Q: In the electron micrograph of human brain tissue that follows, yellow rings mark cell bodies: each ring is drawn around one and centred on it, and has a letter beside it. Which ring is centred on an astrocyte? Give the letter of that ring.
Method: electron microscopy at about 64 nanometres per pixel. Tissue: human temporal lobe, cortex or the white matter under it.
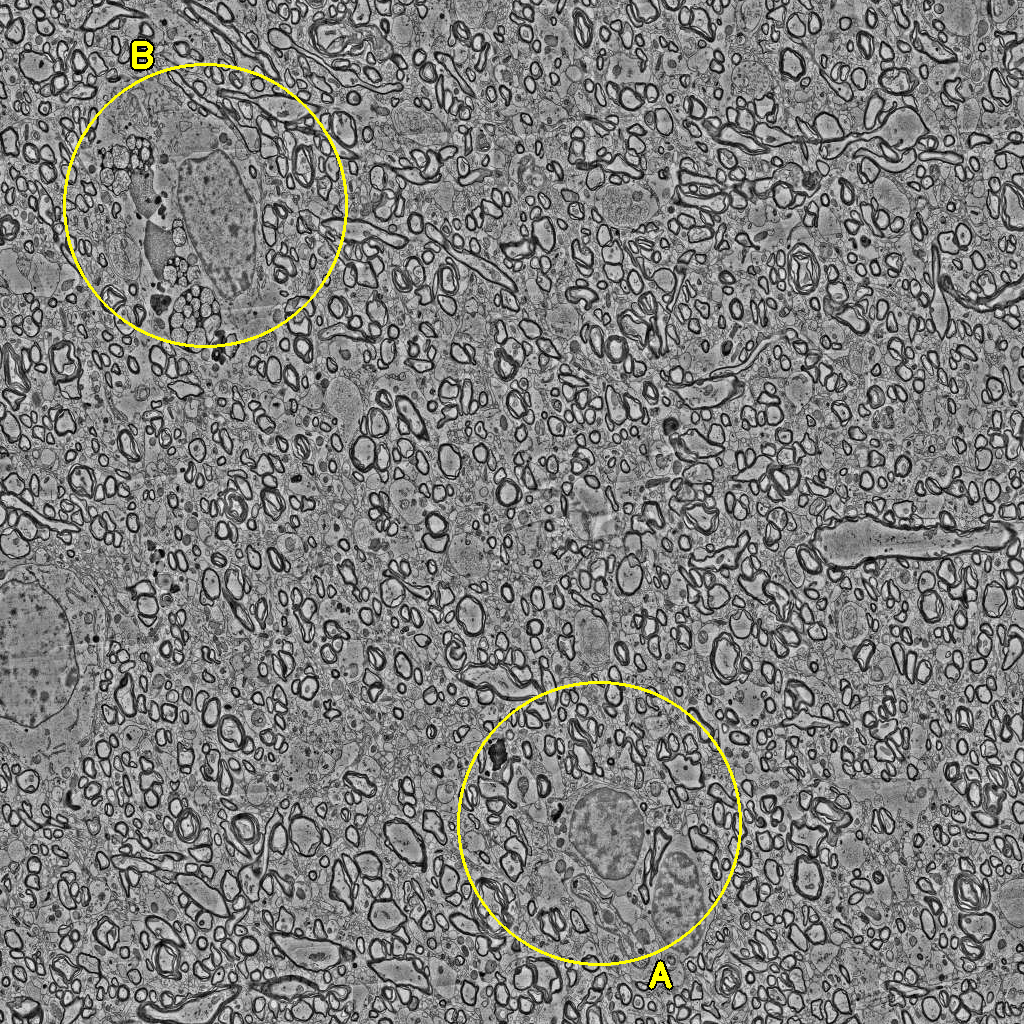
B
